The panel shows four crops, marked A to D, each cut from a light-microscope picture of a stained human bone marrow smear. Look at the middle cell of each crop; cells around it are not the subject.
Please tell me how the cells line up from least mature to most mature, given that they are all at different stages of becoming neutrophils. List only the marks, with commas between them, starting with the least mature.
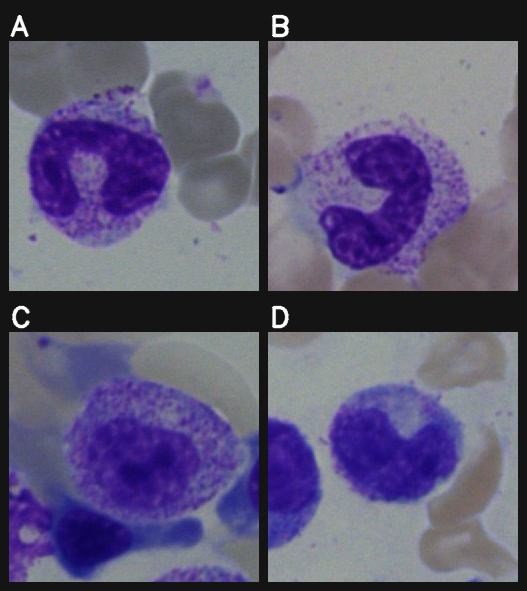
C, D, A, B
